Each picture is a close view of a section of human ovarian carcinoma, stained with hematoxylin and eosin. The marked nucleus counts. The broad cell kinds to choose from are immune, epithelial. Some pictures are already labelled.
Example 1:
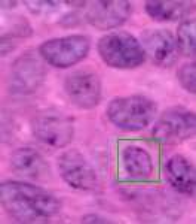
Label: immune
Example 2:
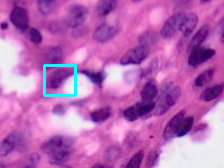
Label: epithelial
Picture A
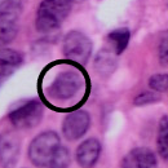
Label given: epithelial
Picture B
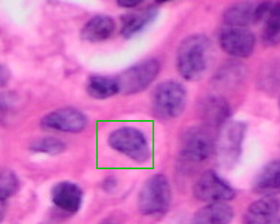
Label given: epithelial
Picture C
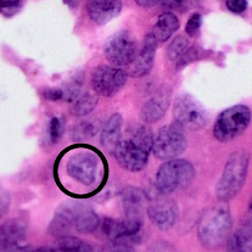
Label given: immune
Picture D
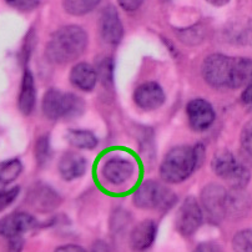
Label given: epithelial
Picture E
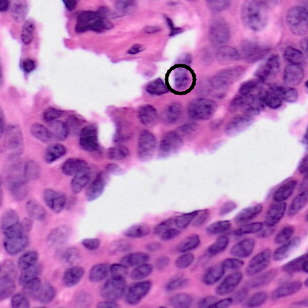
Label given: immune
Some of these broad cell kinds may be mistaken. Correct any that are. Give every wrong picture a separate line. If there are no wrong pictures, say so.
B is labelled epithelial; correct label: immune
D is labelled epithelial; correct label: immune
